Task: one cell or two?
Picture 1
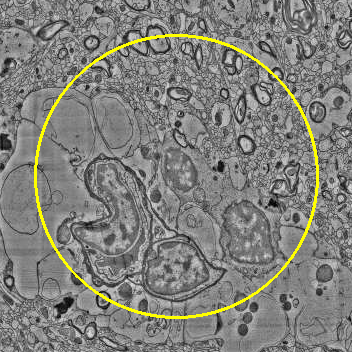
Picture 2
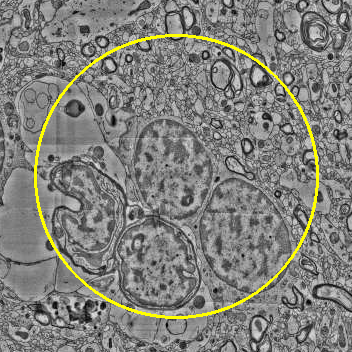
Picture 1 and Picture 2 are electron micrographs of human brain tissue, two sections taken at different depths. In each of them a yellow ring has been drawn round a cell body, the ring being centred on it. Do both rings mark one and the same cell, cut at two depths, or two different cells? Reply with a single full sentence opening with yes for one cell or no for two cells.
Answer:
Yes, the two rings refer to one cell in the tissue.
